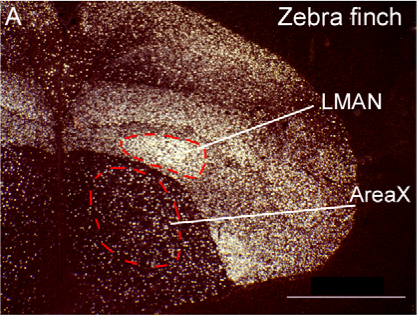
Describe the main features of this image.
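The upper, pallial nucleus is a compact, densely bright oval patch, clearly brighter than the pallium around it. The lower nucleus lies in the darker basal ganglia region below and carries only scattered bright grains.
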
